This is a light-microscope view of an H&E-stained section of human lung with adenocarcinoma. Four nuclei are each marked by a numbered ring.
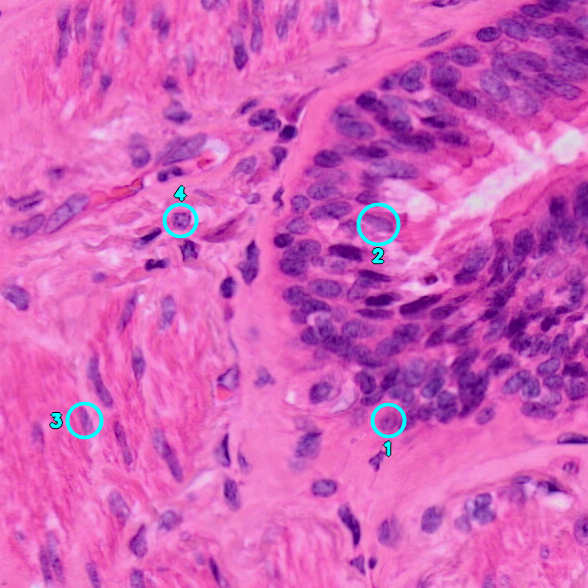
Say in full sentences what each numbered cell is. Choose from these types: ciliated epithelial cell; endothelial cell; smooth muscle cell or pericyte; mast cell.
Cell 1 is a ciliated epithelial cell, cell 2 is a ciliated epithelial cell, cell 3 is a smooth muscle cell or pericyte and cell 4 is a mast cell.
